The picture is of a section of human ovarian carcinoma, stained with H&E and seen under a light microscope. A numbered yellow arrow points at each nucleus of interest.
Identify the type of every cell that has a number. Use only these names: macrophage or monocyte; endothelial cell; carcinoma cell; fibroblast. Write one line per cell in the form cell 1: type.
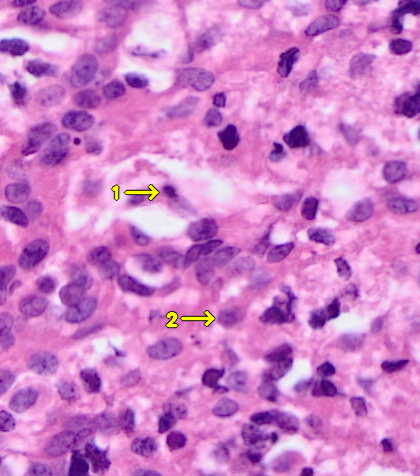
cell 1: fibroblast
cell 2: carcinoma cell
